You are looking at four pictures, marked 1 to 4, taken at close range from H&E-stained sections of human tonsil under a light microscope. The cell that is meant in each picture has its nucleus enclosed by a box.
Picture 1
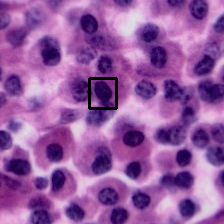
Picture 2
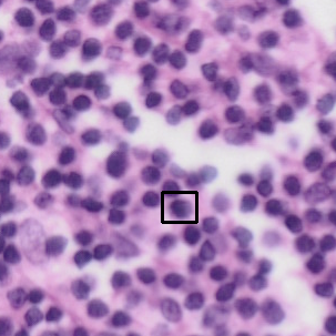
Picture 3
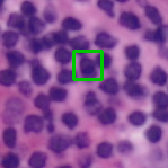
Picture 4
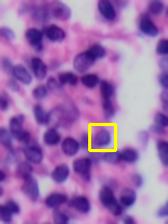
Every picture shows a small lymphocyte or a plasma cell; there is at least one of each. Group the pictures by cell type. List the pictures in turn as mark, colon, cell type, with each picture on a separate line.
1: plasma cell
2: small lymphocyte
3: small lymphocyte
4: small lymphocyte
